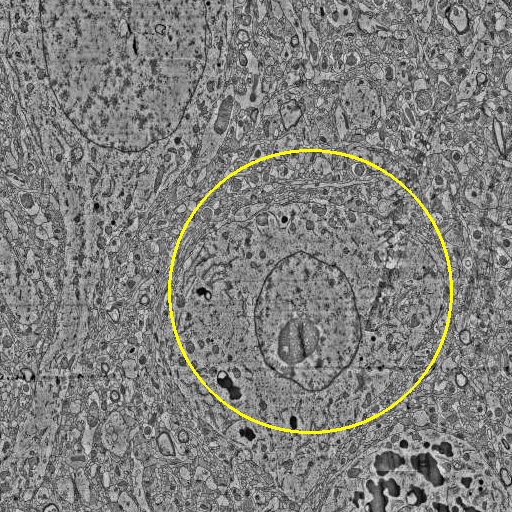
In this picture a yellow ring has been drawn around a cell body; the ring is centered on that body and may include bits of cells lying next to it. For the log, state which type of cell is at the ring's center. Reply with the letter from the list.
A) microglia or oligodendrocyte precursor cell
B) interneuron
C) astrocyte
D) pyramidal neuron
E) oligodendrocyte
D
